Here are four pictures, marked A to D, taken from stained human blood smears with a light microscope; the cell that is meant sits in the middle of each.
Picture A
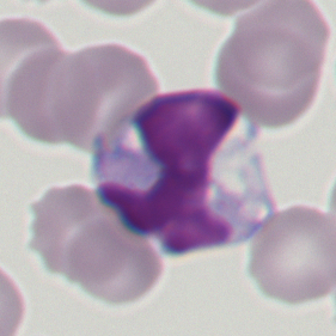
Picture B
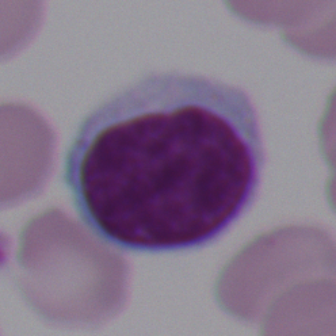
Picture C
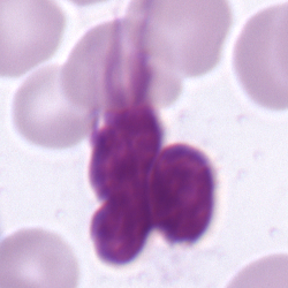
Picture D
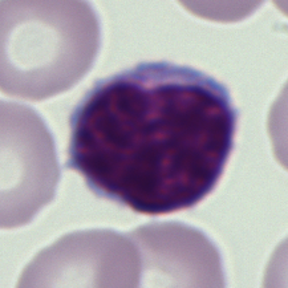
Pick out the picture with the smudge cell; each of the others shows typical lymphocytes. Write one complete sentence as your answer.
Picture C shows the smudge cell.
